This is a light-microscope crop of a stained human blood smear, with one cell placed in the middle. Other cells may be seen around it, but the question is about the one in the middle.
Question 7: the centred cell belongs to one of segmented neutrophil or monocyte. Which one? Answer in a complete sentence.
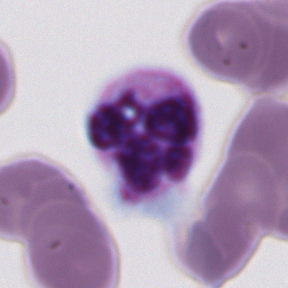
The cell in the middle of this crop is a segmented neutrophil.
